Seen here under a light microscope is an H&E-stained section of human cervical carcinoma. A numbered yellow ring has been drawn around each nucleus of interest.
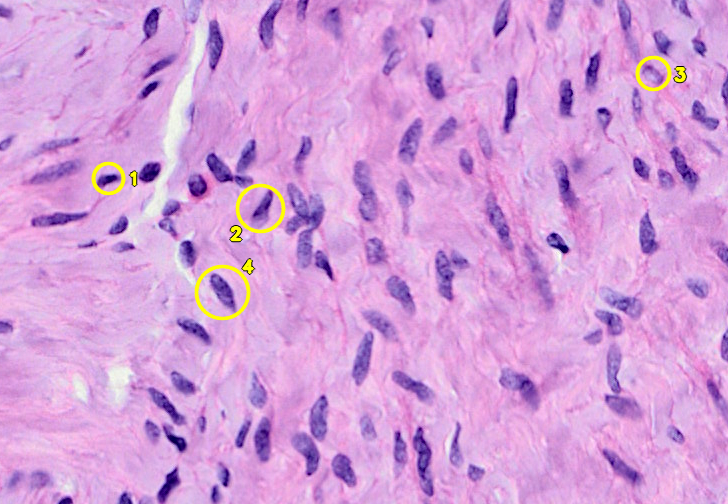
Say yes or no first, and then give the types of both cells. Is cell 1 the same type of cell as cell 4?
Yes, both are fibroblasts.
